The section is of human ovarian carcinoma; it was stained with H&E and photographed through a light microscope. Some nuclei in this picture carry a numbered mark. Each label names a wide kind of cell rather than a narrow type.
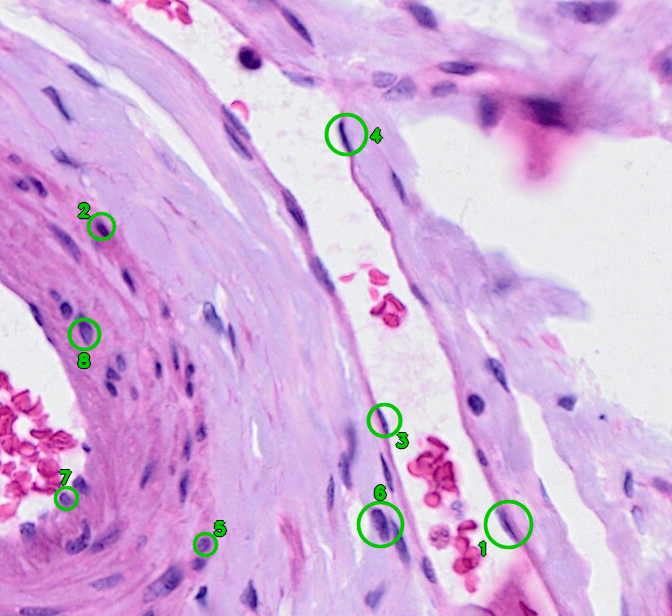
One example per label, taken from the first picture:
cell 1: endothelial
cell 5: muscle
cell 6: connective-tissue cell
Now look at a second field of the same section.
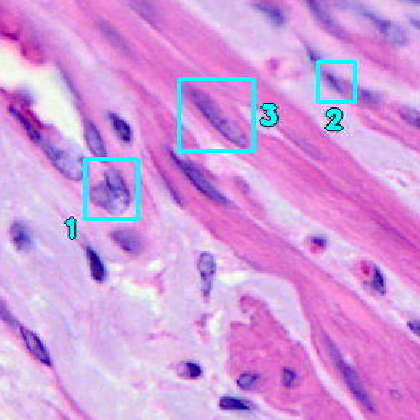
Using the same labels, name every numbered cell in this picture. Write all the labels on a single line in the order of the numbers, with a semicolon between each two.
endothelial; muscle; muscle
